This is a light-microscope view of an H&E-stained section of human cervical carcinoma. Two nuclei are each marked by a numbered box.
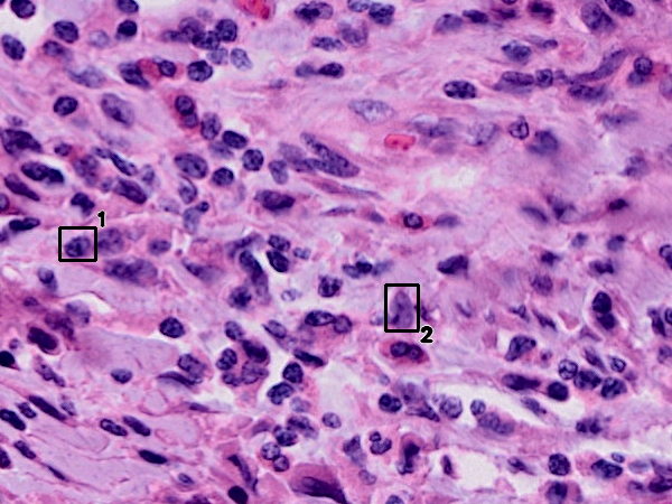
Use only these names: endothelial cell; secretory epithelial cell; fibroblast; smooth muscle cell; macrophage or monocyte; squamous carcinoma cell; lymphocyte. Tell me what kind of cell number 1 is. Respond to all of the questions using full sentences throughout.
Cell 1 is classified as a lymphocyte.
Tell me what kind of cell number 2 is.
The cell referenced by the number 2 is a macrophage or monocyte in this field.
